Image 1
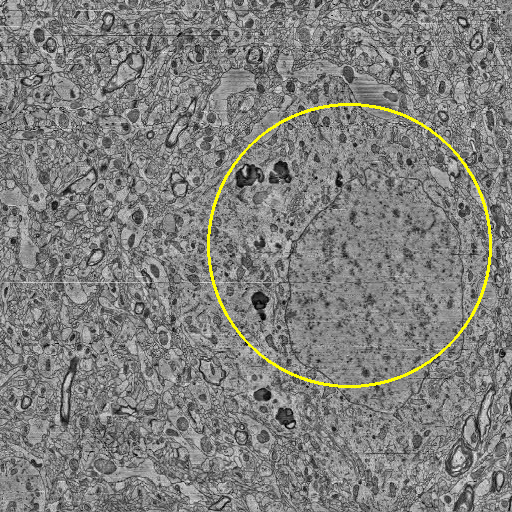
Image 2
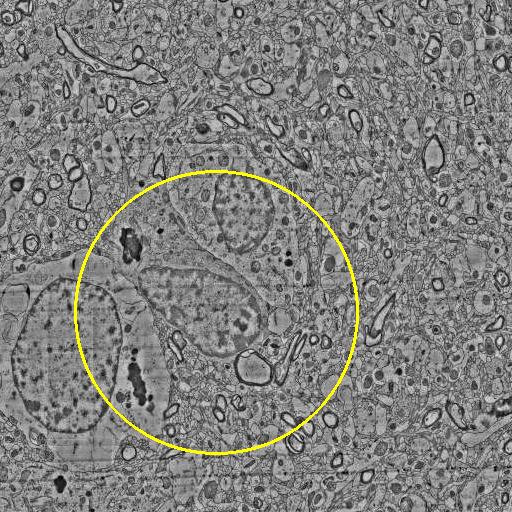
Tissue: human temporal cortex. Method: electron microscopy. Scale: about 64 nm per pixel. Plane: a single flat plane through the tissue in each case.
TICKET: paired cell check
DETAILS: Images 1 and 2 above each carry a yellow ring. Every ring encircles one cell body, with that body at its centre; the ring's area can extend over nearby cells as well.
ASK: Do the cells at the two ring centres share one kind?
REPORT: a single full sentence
No, the ring-centre cells of Images 1 and 2 belong to two kinds.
